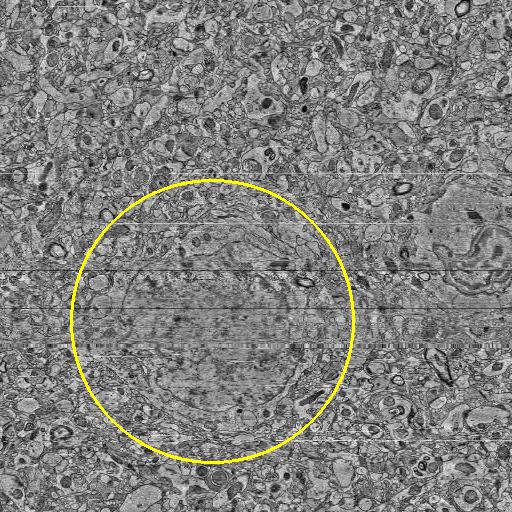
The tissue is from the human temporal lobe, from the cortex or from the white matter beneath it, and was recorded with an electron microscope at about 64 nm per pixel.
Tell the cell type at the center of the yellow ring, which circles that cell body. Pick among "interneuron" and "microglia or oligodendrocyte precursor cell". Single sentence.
The ring is centered on the body of an interneuron.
